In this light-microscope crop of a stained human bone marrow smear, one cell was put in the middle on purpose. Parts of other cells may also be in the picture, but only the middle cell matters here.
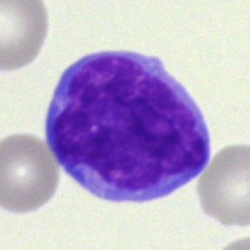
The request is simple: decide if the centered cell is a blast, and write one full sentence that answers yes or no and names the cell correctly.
Yes, the cell occupying the center is a blast.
